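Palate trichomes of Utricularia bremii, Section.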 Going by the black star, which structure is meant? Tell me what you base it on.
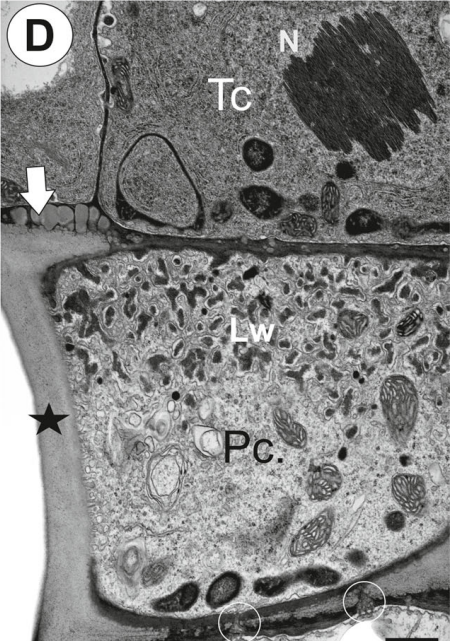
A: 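Thickened impregnated anticlinal wall. The star lies on a broad, homogeneous grey wall along the left side of the lower cell. This wall is much thicker than the wall between the two cells.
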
